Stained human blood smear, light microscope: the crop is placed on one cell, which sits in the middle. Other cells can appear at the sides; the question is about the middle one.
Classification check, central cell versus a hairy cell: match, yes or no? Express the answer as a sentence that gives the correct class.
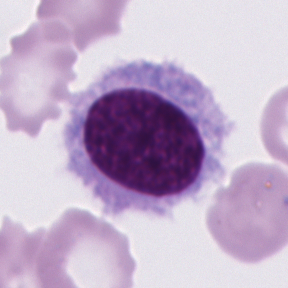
Yes, the cell at the centre of this crop is identified as a hairy cell.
